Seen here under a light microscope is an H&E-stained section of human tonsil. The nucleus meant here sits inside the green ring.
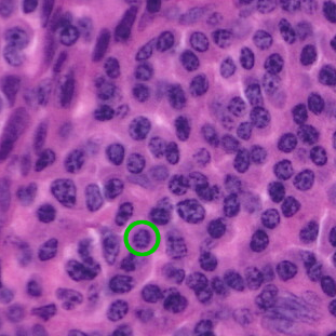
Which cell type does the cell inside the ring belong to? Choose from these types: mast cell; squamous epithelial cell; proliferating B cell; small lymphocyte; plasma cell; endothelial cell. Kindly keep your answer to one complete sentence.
On this particular slide, the cell inside the ring is a plasma cell.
